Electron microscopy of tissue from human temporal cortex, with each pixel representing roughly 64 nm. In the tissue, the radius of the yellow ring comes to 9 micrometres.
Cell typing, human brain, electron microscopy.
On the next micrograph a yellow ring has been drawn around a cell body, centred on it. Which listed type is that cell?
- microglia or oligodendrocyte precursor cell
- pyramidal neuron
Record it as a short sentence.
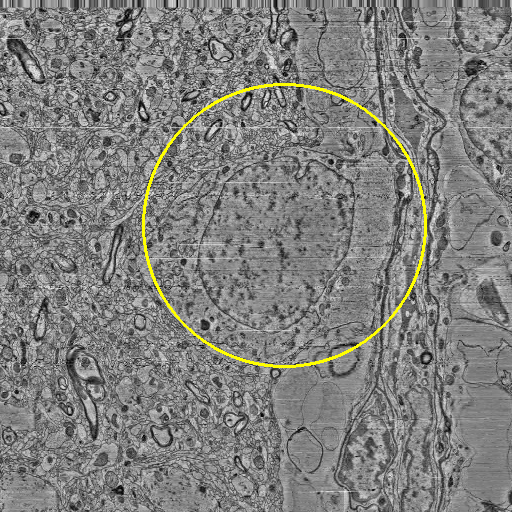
The cell body in the ring's centre belongs to a pyramidal neuron.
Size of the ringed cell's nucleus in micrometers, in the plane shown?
The nucleus is approximately 12 micrometers long by 10 micrometers wide in this plane.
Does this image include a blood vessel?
Yes, there is one.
